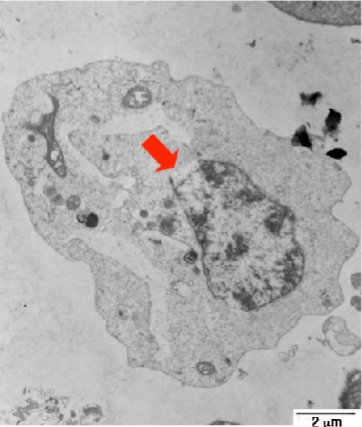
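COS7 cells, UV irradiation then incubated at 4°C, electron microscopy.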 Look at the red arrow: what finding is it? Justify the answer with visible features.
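A single opening. The arrow points to the edge of the nucleus where its outline is interrupted.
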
